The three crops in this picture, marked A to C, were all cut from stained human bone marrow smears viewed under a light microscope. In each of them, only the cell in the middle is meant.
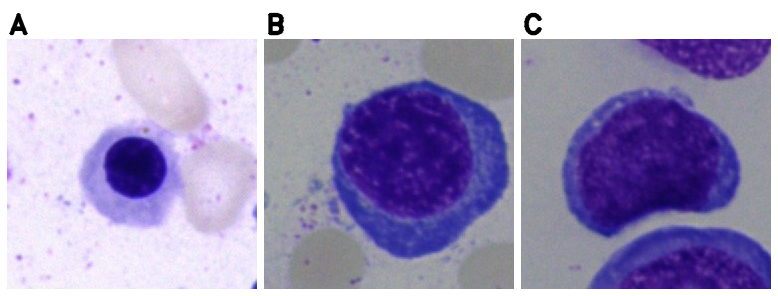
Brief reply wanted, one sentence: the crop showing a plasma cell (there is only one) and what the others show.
Crop B counts as a plasma cell, while crop A is a normoblast and crop C is a blast.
